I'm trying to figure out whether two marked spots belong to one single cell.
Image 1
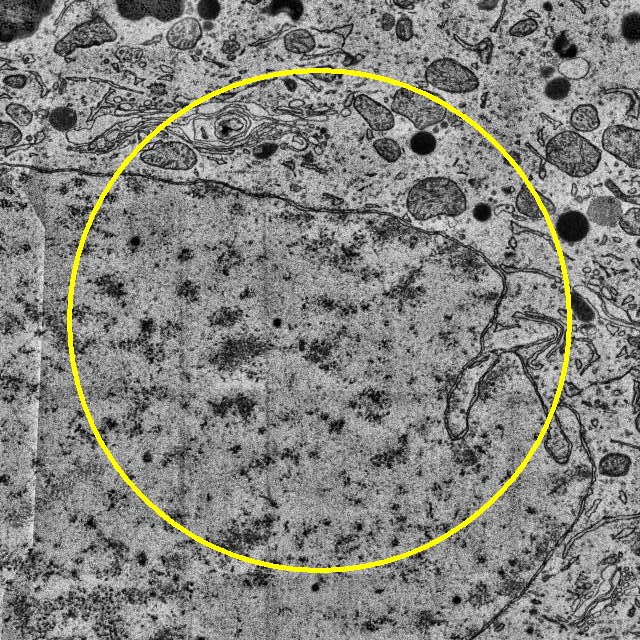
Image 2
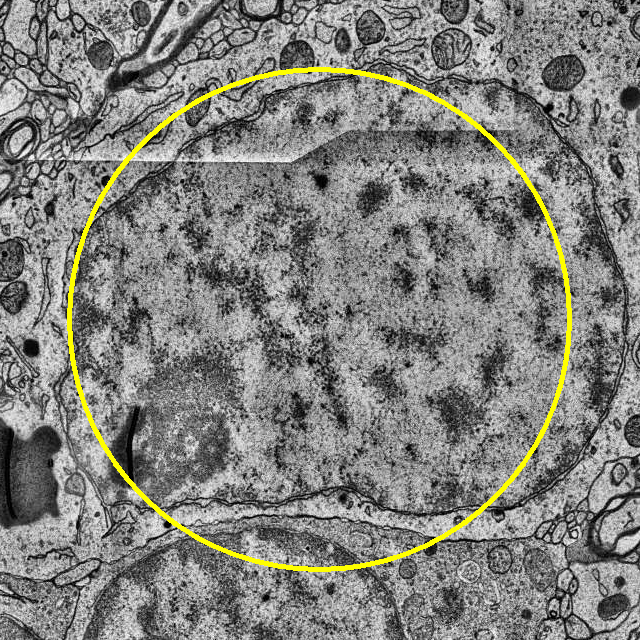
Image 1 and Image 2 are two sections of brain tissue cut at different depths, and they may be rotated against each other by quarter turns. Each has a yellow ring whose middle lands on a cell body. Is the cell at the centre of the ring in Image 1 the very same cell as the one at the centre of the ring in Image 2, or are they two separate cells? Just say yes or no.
no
